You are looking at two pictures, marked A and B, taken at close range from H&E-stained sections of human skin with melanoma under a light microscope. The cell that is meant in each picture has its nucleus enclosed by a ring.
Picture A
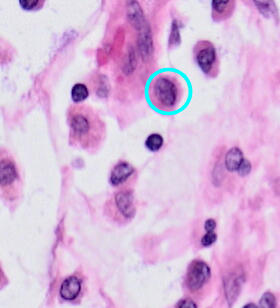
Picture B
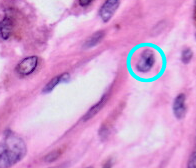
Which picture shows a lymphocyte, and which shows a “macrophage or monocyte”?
A: macrophage or monocyte
B: lymphocyte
